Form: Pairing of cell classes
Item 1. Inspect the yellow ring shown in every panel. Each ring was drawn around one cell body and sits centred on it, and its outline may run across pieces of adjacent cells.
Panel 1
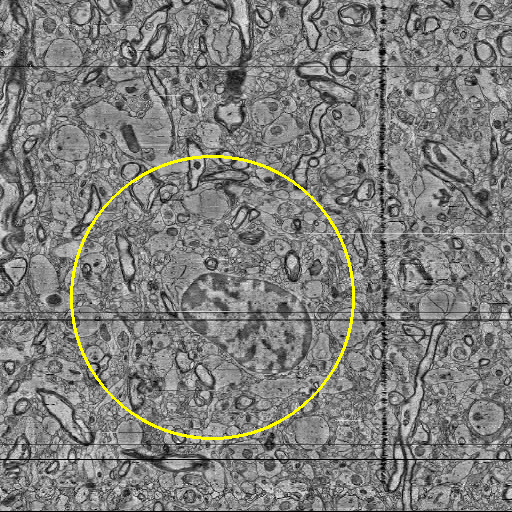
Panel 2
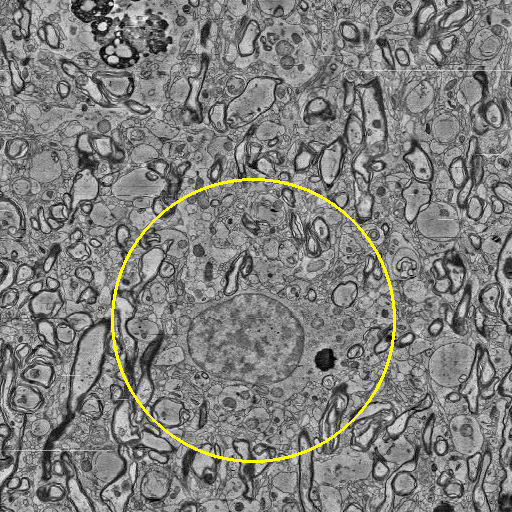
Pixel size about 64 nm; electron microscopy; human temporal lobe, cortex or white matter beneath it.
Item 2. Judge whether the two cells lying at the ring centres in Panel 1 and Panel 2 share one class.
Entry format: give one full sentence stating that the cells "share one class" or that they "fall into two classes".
The cells at the ring centres in Panel 1 and Panel 2 fall into two classes.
